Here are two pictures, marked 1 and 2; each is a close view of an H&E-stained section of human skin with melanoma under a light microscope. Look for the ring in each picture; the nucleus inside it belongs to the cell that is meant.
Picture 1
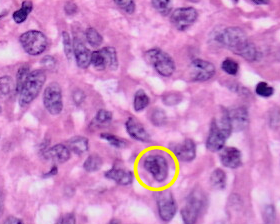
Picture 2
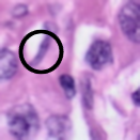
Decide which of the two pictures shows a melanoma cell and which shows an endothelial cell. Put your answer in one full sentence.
In picture 1 the cell is a melanoma cell; in picture 2, an endothelial cell.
